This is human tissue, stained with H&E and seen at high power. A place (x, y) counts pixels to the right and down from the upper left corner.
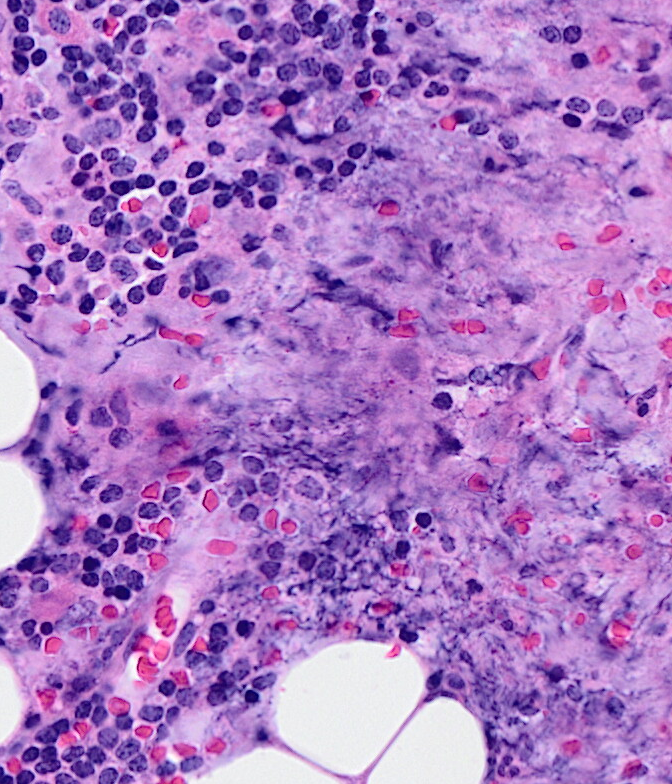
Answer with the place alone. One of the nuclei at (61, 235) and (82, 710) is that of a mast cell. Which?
(61, 235)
